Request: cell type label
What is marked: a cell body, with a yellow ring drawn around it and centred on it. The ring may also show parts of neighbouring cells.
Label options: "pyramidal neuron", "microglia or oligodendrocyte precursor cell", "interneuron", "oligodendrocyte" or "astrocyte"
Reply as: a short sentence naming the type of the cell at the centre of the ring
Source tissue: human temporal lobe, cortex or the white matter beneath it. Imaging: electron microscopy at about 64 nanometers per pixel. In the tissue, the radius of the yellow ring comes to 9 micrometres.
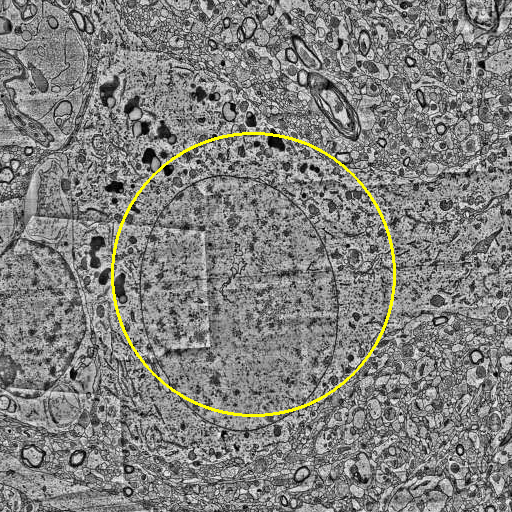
The marked cell body is that of a pyramidal neuron.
